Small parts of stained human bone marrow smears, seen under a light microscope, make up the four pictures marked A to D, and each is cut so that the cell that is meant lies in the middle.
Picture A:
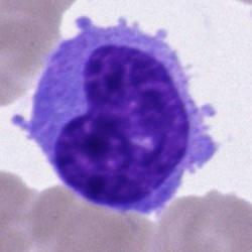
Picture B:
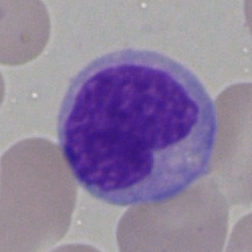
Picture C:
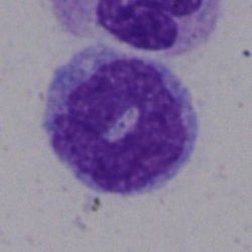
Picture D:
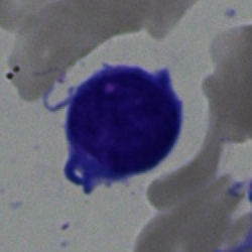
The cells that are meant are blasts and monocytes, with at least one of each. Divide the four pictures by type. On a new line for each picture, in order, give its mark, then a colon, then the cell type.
A: monocyte
B: monocyte
C: monocyte
D: blast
